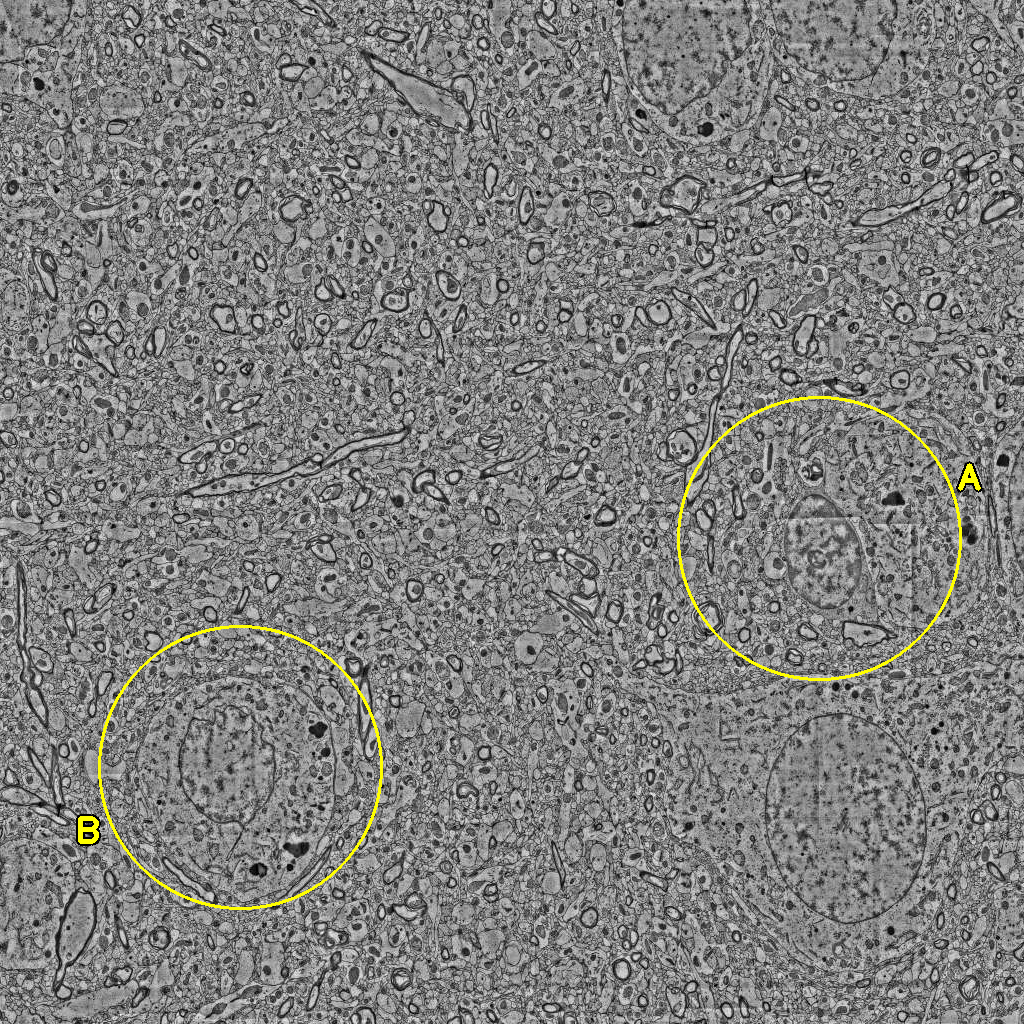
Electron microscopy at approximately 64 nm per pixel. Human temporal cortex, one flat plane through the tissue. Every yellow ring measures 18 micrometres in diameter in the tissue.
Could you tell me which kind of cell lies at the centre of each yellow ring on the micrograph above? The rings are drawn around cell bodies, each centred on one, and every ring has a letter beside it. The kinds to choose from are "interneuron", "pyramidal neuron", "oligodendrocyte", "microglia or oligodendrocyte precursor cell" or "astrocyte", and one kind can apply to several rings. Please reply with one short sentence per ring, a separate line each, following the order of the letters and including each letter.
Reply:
Ring A circles an oligodendrocyte.
Ring B circles a pyramidal neuron.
